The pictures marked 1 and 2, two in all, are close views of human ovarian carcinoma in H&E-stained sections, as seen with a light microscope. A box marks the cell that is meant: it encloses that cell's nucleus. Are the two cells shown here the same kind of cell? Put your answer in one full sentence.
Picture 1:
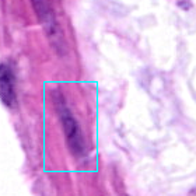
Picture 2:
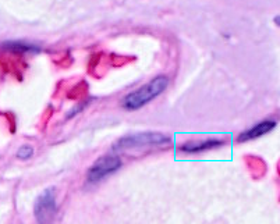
No. Picture 1 shows a smooth muscle cell, but picture 2 shows an endothelial cell.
